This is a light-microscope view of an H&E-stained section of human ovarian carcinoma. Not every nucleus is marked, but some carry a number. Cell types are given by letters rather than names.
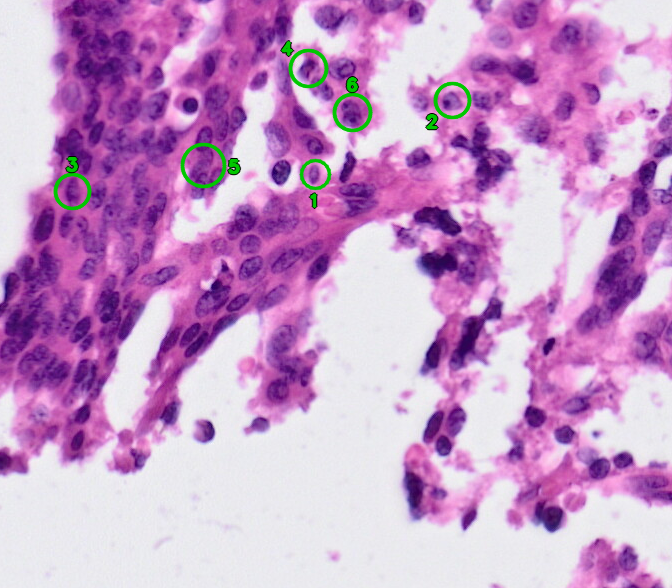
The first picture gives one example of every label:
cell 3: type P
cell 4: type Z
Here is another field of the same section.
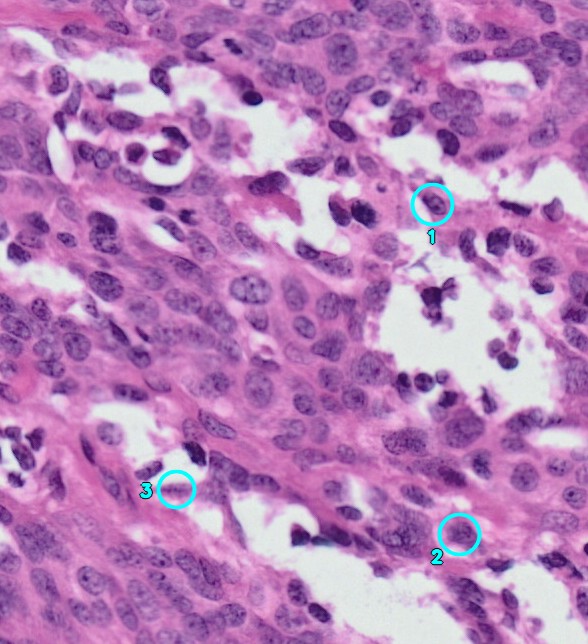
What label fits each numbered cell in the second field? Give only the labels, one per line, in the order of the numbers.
type Z
type Z
type P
